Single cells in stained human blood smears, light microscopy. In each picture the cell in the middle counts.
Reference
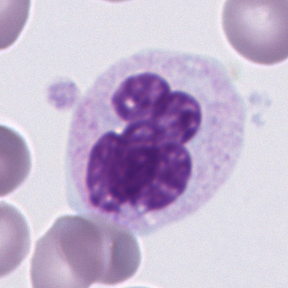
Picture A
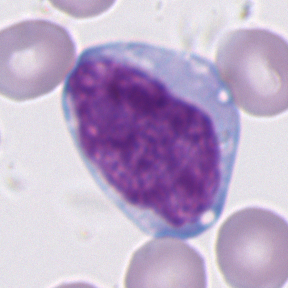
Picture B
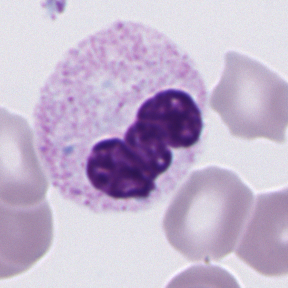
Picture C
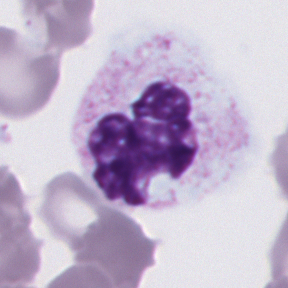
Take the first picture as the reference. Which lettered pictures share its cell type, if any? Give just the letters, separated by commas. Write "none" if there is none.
B, C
